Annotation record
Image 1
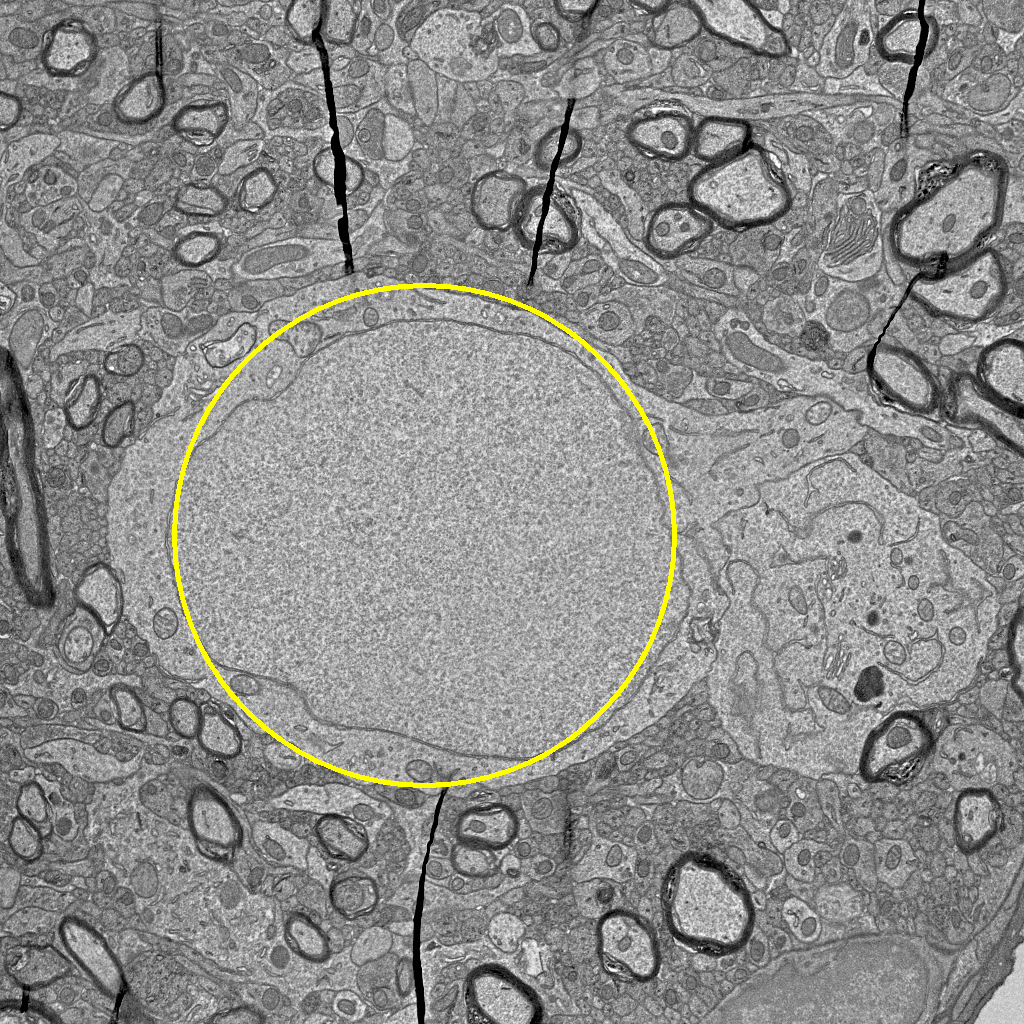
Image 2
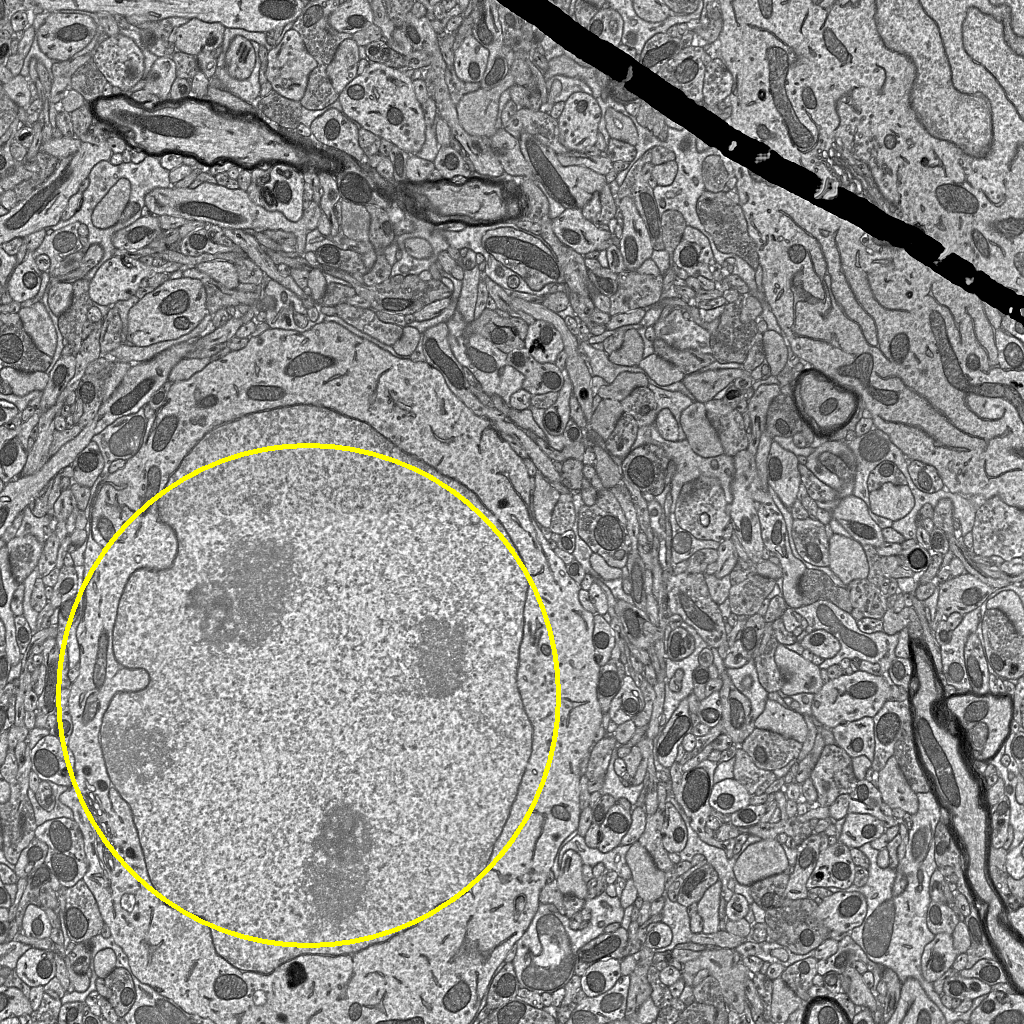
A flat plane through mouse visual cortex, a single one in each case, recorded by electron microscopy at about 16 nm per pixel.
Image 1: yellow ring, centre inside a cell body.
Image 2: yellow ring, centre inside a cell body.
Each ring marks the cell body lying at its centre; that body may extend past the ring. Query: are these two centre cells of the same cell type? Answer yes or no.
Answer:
yes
